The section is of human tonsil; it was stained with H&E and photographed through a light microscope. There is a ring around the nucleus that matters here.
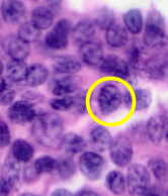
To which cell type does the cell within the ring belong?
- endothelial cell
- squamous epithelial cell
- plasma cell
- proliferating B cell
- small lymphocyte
proliferating B cell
